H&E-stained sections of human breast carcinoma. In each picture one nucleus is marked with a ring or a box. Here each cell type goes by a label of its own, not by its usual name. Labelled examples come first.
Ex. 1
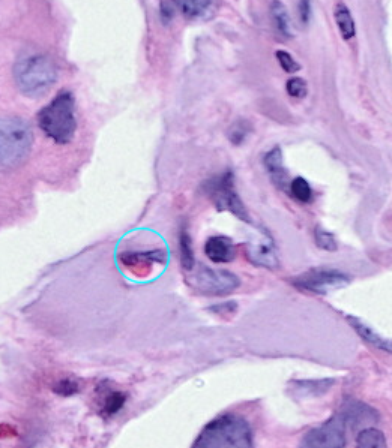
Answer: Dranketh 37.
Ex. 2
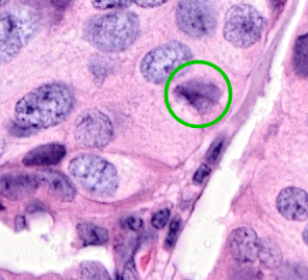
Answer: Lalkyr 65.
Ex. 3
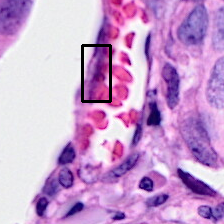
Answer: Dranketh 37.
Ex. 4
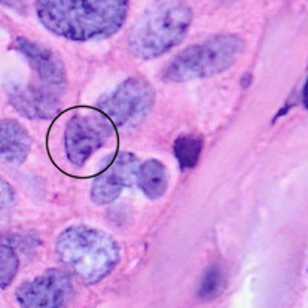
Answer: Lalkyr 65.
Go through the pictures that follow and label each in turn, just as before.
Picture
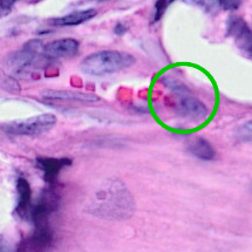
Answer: Dranketh 37.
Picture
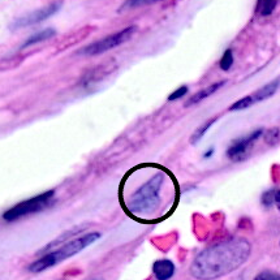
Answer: Dranketh 37.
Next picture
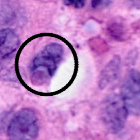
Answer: Lalkyr 65.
